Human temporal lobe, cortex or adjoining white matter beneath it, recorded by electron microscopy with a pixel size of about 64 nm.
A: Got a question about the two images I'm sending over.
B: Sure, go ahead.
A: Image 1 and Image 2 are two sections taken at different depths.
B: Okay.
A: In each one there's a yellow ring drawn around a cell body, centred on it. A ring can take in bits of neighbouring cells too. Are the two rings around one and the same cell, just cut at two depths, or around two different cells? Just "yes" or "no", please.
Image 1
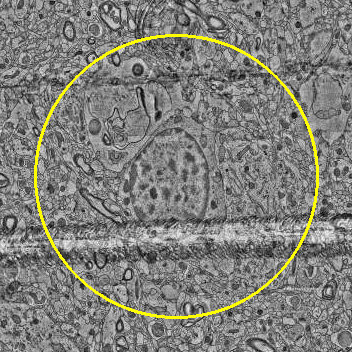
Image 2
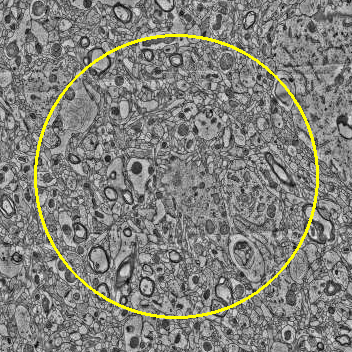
yes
